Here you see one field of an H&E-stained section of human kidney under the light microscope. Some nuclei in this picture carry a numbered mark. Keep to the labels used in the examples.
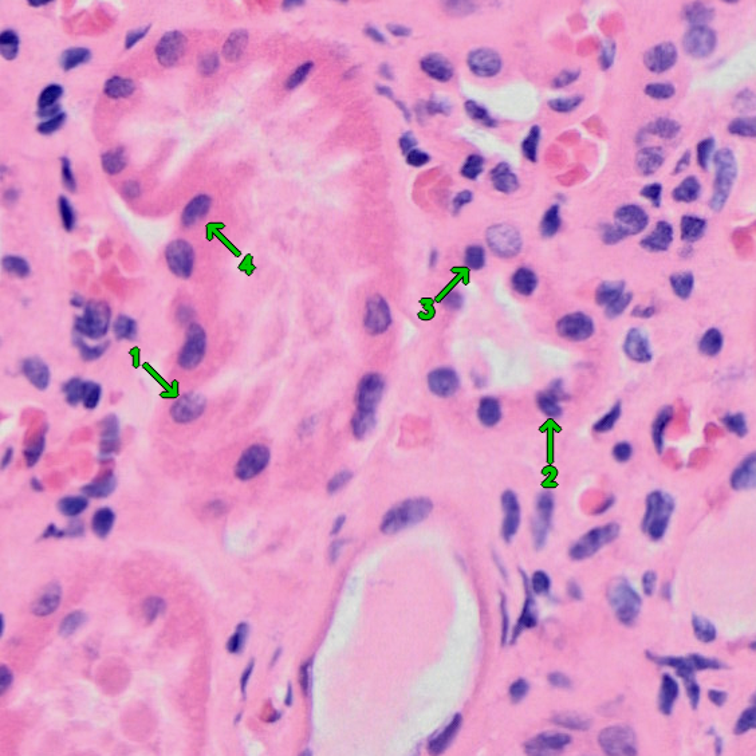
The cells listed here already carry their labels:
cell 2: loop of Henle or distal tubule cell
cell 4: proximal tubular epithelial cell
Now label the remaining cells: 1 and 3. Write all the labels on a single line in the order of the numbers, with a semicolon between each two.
proximal tubular epithelial cell; loop of Henle or distal tubule cell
